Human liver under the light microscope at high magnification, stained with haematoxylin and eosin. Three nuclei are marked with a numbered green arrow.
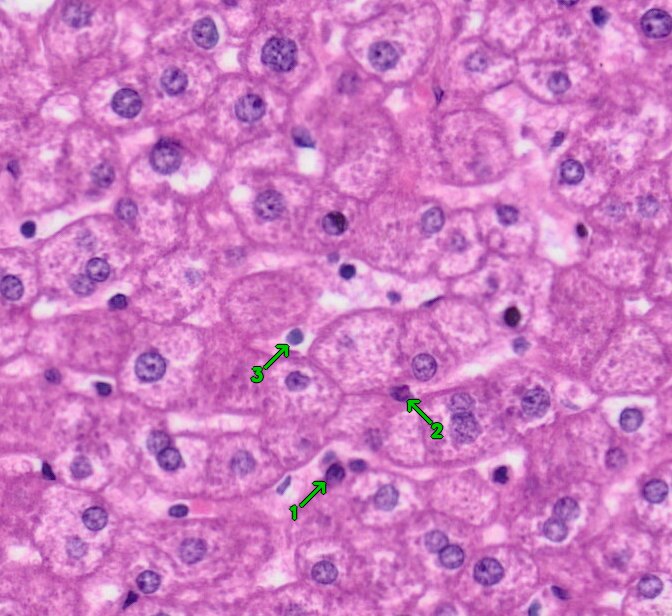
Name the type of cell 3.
lymphocyte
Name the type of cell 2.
endothelial cell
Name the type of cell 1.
Kupffer cell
